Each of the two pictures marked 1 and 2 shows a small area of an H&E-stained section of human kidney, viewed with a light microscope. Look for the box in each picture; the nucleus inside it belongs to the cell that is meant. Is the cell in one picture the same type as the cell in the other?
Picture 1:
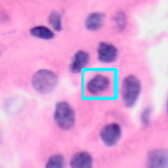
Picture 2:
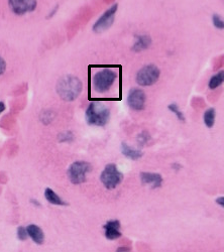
yes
